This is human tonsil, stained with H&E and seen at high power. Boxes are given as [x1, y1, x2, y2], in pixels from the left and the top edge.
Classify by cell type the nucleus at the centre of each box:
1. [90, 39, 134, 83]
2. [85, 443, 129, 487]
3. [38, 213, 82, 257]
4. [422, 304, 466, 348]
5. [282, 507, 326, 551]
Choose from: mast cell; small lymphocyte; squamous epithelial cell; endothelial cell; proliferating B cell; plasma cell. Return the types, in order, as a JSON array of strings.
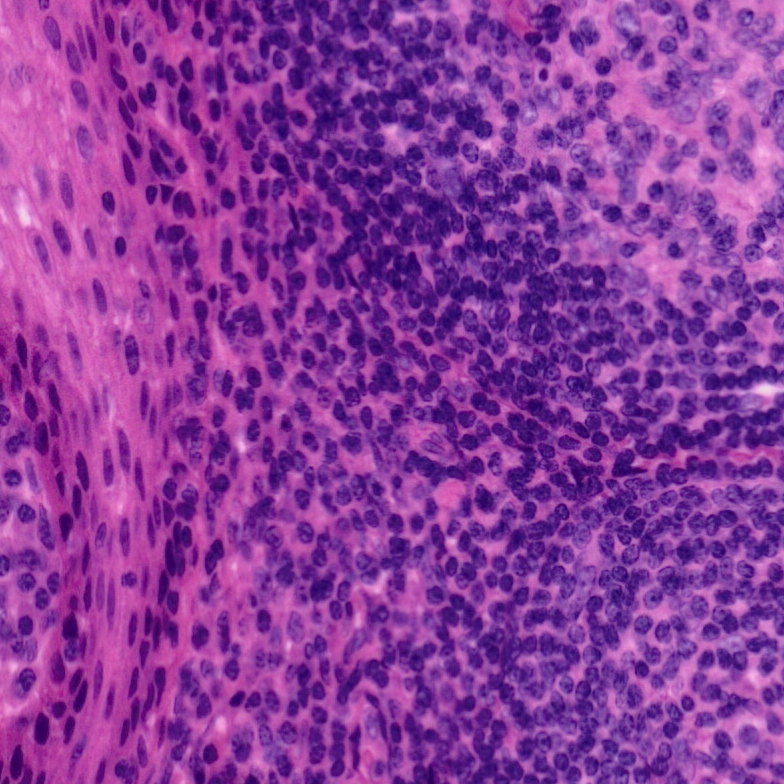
["squamous epithelial cell", "squamous epithelial cell", "squamous epithelial cell", "small lymphocyte", "plasma cell"]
